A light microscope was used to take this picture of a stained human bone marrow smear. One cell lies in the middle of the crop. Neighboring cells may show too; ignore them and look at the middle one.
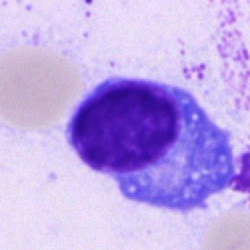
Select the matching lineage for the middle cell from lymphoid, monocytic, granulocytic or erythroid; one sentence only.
The cell at the middle of the crop is designated as lymphoid in lineage.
